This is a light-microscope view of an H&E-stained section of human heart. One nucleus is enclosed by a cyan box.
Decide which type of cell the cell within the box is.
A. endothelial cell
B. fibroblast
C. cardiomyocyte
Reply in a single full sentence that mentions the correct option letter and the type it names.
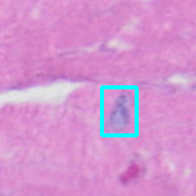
Option C, identifying the cell within the box as a cardiomyocyte, is correct.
